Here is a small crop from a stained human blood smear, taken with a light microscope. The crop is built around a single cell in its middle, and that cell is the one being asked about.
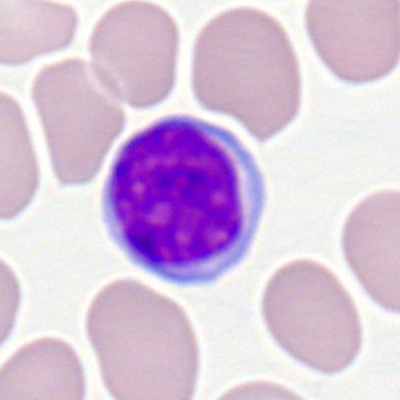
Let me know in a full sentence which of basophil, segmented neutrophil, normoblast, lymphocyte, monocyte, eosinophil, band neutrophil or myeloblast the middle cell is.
In the central position of this crop, the cell is a lymphocyte.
